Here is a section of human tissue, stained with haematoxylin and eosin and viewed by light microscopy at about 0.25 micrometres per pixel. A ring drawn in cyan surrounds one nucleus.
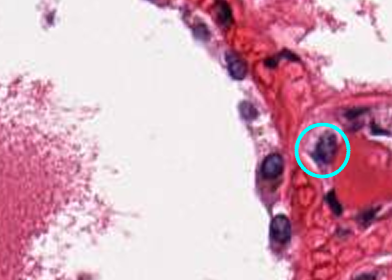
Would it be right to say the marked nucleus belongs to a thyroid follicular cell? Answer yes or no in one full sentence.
Yes, a thyroid follicular cell is the owner of the marked nucleus.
